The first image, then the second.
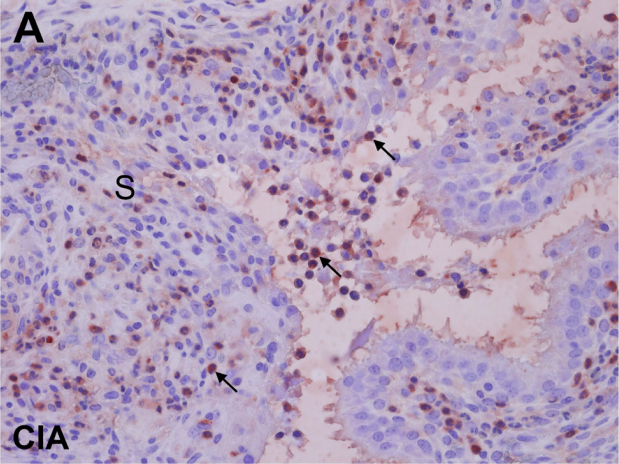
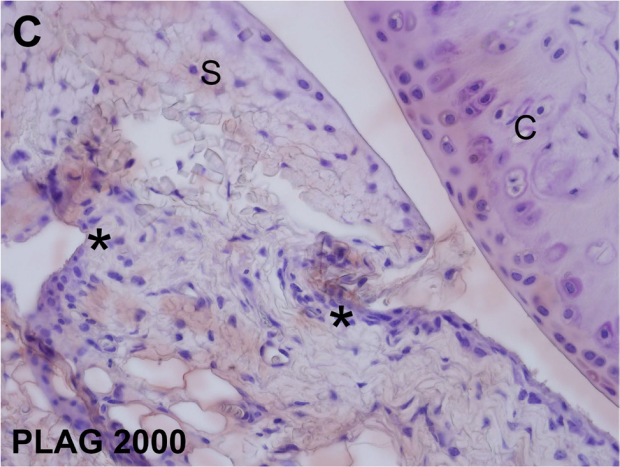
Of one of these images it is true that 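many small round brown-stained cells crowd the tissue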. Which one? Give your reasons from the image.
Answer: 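Second image: loose pale tissue and cartilage with blue nuclei and essentially no brown-stained round cells. First image: numerous small round cells with dark brown nuclei throughout the tissue and the space between folds. That points to this answer: the first image.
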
